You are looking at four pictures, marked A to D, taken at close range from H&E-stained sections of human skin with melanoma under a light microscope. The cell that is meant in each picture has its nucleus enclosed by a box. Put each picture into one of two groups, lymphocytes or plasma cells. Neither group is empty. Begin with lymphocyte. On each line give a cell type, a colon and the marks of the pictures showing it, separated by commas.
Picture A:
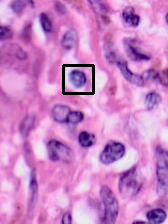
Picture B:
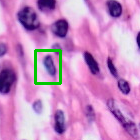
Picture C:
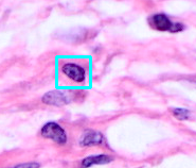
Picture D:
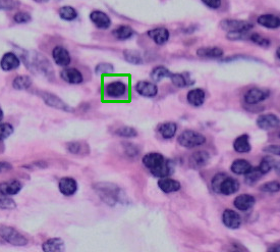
lymphocyte: A, B
plasma cell: C, D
